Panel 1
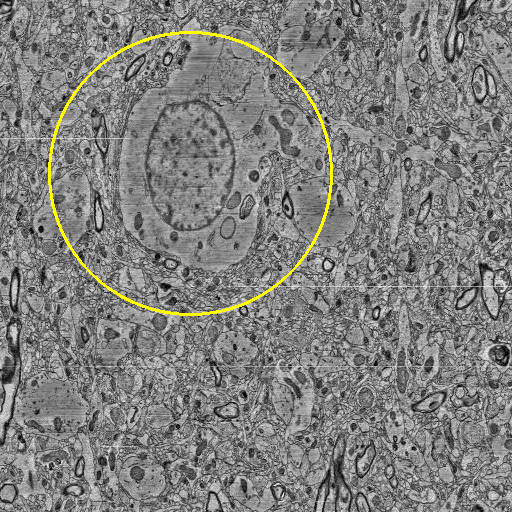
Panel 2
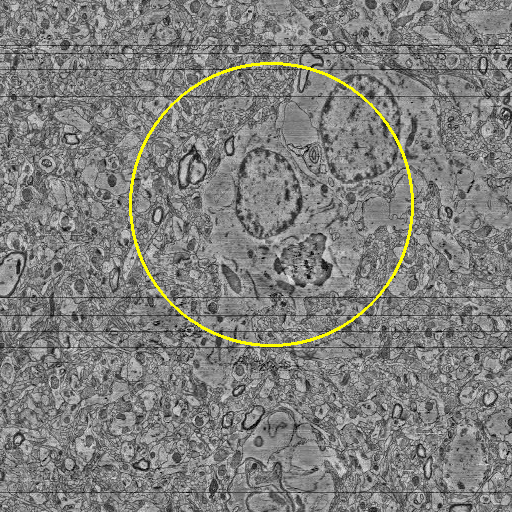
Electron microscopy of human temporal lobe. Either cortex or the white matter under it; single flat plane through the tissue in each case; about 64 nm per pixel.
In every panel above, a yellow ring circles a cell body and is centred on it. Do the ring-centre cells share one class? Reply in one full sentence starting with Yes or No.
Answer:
Yes, the two cells at the ring centres in the panels belong to one class.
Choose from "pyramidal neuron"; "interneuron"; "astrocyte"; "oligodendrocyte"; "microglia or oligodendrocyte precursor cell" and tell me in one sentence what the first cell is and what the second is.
Each of the ringed cells, first and second, is an astrocyte.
